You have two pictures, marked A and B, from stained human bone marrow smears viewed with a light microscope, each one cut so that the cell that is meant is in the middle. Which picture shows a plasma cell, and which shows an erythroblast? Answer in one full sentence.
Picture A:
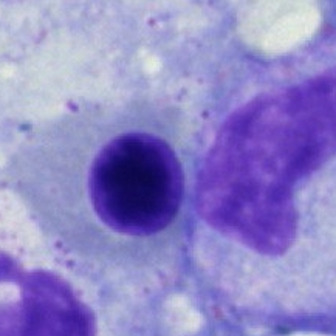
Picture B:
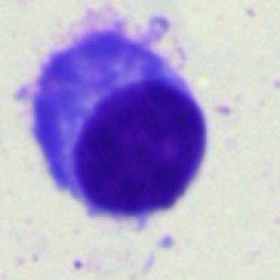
It is picture A that shows an erythroblast, and picture B that shows a plasma cell.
